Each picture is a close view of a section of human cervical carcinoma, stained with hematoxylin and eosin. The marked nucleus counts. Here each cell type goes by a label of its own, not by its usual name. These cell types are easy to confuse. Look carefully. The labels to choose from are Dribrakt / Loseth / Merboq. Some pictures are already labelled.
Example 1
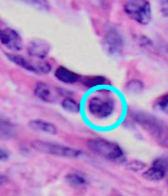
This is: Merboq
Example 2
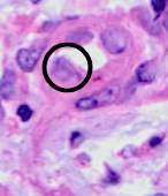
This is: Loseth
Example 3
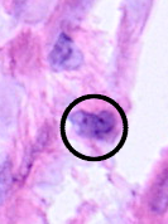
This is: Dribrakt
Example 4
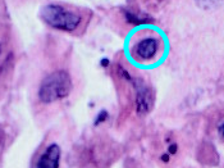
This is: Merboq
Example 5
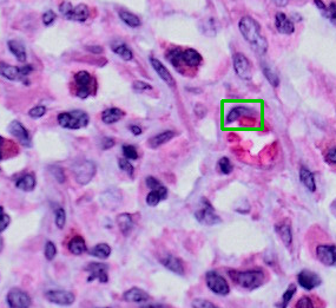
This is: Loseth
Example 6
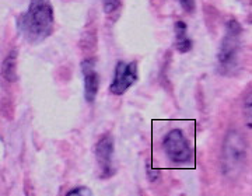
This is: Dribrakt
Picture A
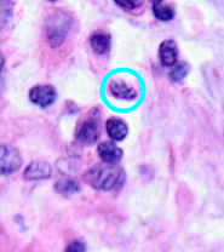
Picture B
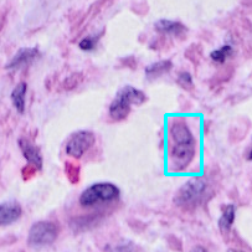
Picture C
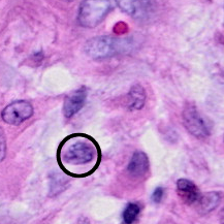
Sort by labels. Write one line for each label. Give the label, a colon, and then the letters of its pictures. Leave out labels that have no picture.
Dribrakt: B, C
Merboq: A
